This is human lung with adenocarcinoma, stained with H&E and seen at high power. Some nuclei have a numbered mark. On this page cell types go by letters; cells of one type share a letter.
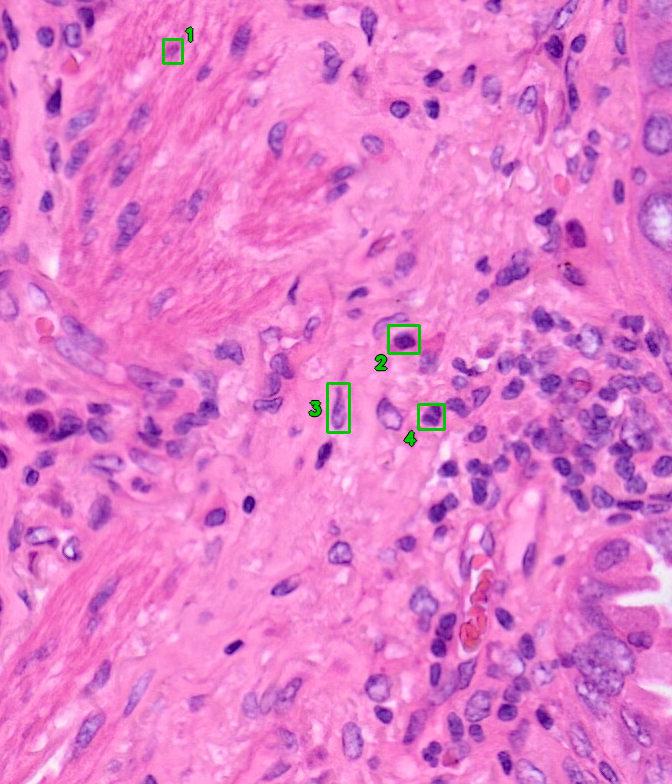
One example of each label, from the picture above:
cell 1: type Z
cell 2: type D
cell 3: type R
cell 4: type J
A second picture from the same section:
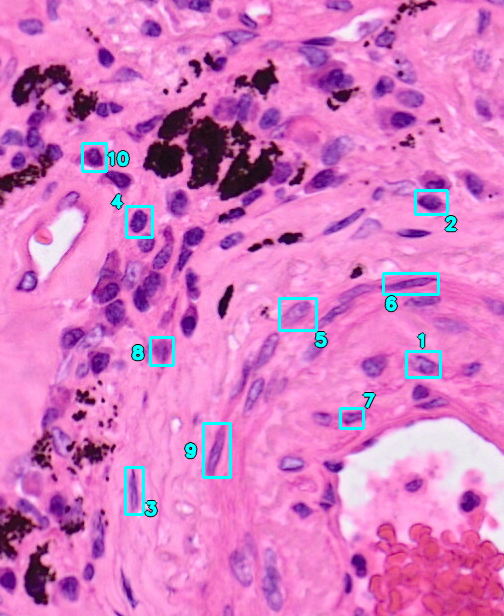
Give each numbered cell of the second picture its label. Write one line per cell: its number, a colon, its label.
1: type Z
2: type D
3: type R
4: type J
5: type Z
6: type Z
7: type Z
8: type D
9: type Z
10: type D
